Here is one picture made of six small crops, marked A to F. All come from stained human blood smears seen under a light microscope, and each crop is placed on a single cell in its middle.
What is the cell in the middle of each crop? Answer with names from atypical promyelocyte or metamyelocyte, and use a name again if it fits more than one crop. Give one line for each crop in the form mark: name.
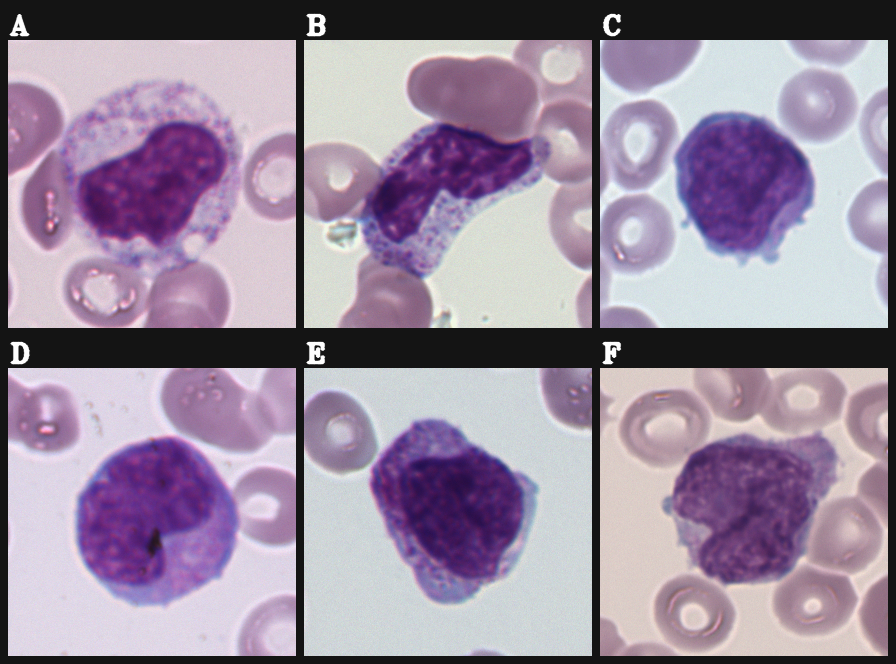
A: metamyelocyte
B: metamyelocyte
C: atypical promyelocyte
D: atypical promyelocyte
E: atypical promyelocyte
F: atypical promyelocyte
